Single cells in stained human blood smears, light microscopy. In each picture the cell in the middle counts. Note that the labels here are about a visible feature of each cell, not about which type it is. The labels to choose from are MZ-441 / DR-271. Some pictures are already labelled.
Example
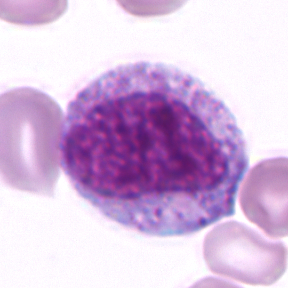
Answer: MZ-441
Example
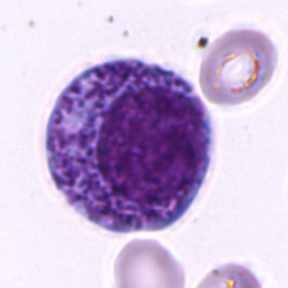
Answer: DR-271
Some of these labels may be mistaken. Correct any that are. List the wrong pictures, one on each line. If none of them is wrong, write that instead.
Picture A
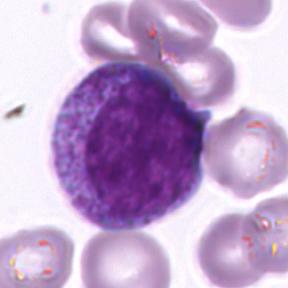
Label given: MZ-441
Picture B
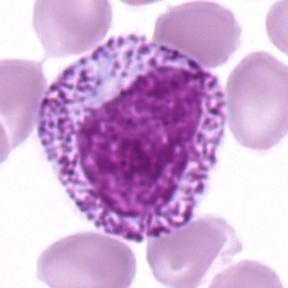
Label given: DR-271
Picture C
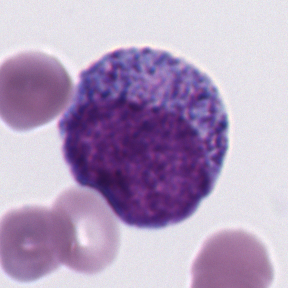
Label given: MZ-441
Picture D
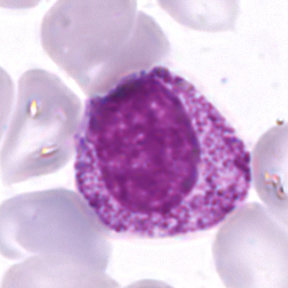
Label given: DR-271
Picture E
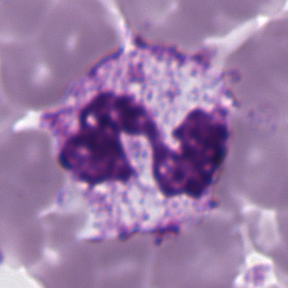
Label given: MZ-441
C: not MZ-441 but DR-271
